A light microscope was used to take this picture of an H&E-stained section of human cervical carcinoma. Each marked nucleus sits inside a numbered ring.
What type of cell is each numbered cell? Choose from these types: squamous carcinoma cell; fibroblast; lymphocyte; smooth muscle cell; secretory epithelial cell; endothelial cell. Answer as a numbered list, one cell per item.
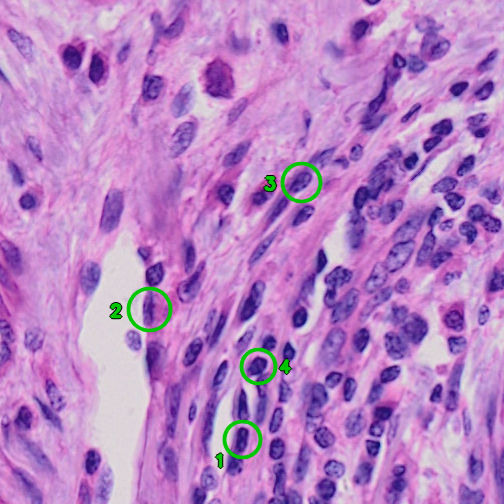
1. lymphocyte
2. endothelial cell
3. lymphocyte
4. lymphocyte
